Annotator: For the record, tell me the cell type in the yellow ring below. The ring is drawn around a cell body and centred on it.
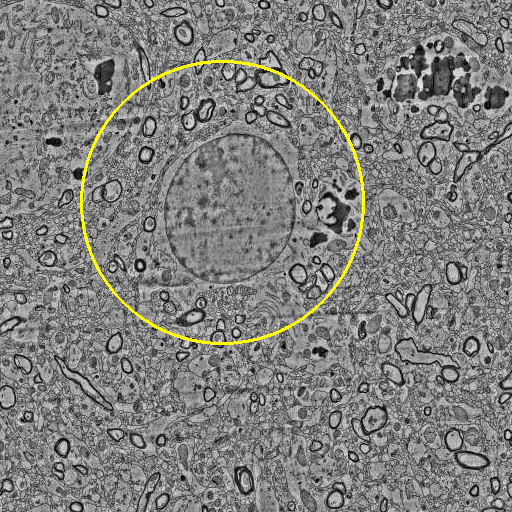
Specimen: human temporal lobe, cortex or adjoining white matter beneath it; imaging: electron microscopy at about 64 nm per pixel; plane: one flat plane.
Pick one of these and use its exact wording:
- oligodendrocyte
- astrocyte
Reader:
astrocyte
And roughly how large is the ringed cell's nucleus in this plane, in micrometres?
About 10 by 8 micrometers for the nucleus, in this plane.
